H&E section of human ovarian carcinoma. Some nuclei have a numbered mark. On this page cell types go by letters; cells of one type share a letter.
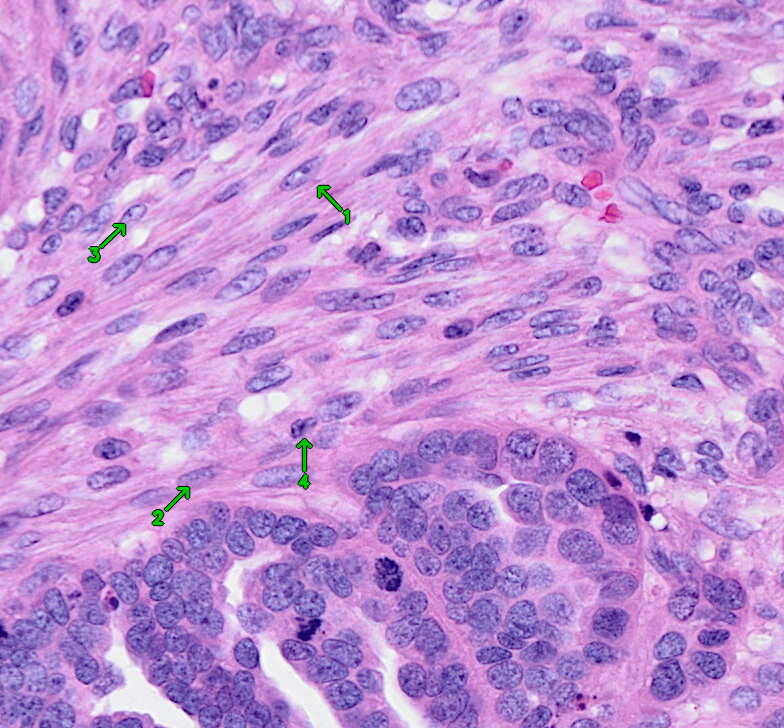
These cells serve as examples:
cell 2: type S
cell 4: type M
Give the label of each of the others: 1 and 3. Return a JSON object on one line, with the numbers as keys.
{"1": "type S", "3": "type S"}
